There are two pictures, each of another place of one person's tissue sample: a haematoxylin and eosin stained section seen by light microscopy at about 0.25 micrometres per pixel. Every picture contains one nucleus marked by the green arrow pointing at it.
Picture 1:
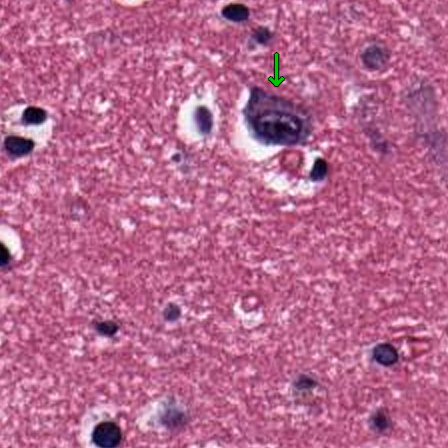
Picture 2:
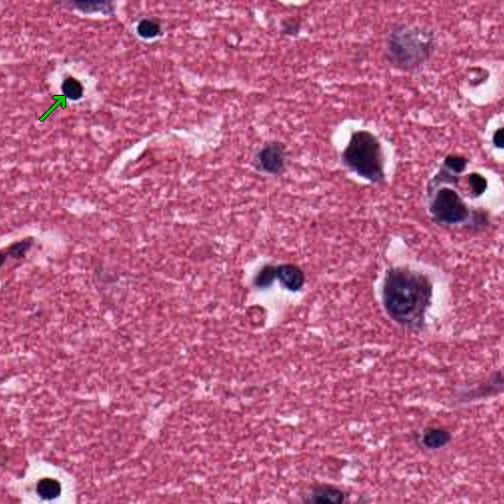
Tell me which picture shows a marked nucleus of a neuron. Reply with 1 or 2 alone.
1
